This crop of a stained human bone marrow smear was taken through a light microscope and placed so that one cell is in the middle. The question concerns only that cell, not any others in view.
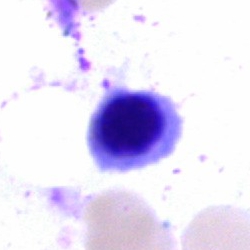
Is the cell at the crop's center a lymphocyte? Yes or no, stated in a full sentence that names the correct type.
No, not a lymphocyte here; the centered cell is a normoblast.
